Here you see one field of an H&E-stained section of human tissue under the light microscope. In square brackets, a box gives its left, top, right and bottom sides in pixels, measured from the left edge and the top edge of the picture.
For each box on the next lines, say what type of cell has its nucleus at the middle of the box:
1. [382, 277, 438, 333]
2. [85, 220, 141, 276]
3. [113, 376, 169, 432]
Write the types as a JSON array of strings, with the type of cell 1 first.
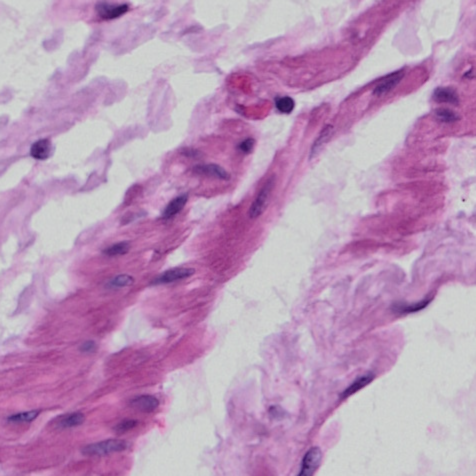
["endothelial cell", "smooth muscle cell", "smooth muscle cell"]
